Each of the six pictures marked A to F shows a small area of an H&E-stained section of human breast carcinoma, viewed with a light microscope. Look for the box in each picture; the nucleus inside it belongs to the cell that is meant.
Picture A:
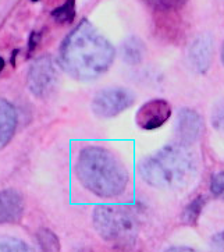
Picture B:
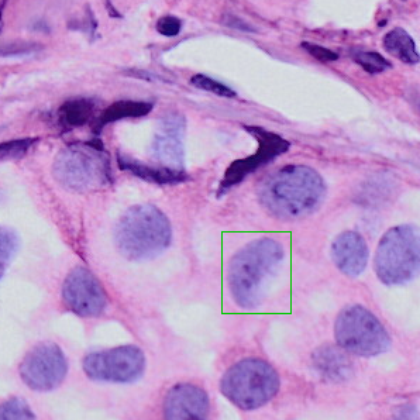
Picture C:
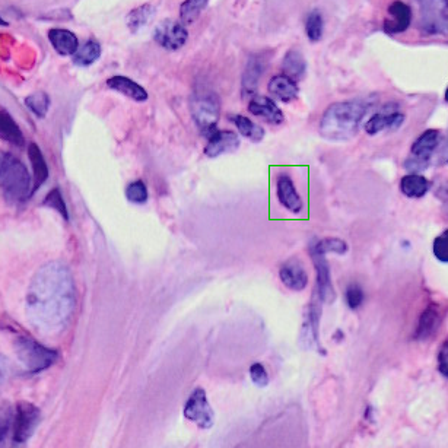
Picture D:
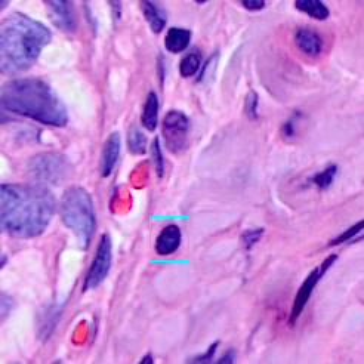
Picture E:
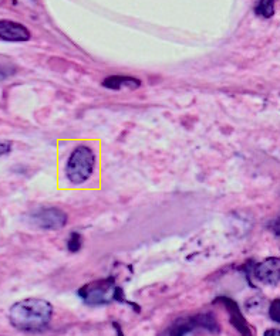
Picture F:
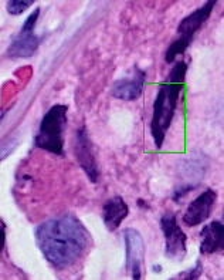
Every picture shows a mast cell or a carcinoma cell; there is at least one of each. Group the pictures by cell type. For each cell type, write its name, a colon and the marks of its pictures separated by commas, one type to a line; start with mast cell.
mast cell: C, D, E
carcinoma cell: A, B, F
